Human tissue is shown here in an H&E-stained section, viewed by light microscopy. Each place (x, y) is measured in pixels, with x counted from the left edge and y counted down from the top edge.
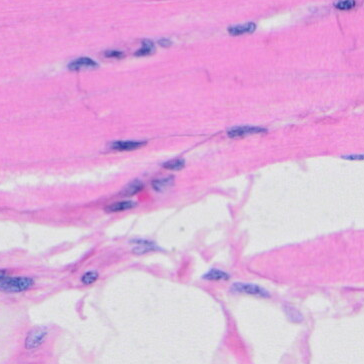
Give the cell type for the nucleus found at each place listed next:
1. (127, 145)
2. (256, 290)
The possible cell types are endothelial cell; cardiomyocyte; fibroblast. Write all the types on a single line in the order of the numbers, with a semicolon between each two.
endothelial cell; fibroblast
